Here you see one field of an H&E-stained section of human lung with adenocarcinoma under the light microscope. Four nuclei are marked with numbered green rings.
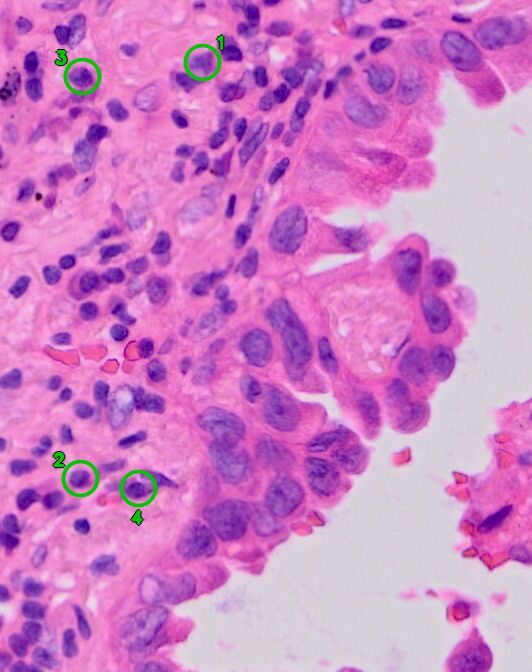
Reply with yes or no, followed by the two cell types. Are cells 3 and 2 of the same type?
No, the cell at number 3 is a plasma cell, and the cell at number 2 is a lymphocyte.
